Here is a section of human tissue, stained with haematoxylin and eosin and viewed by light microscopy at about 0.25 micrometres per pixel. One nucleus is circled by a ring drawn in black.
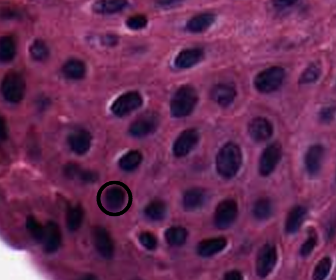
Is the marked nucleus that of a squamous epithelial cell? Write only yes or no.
yes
